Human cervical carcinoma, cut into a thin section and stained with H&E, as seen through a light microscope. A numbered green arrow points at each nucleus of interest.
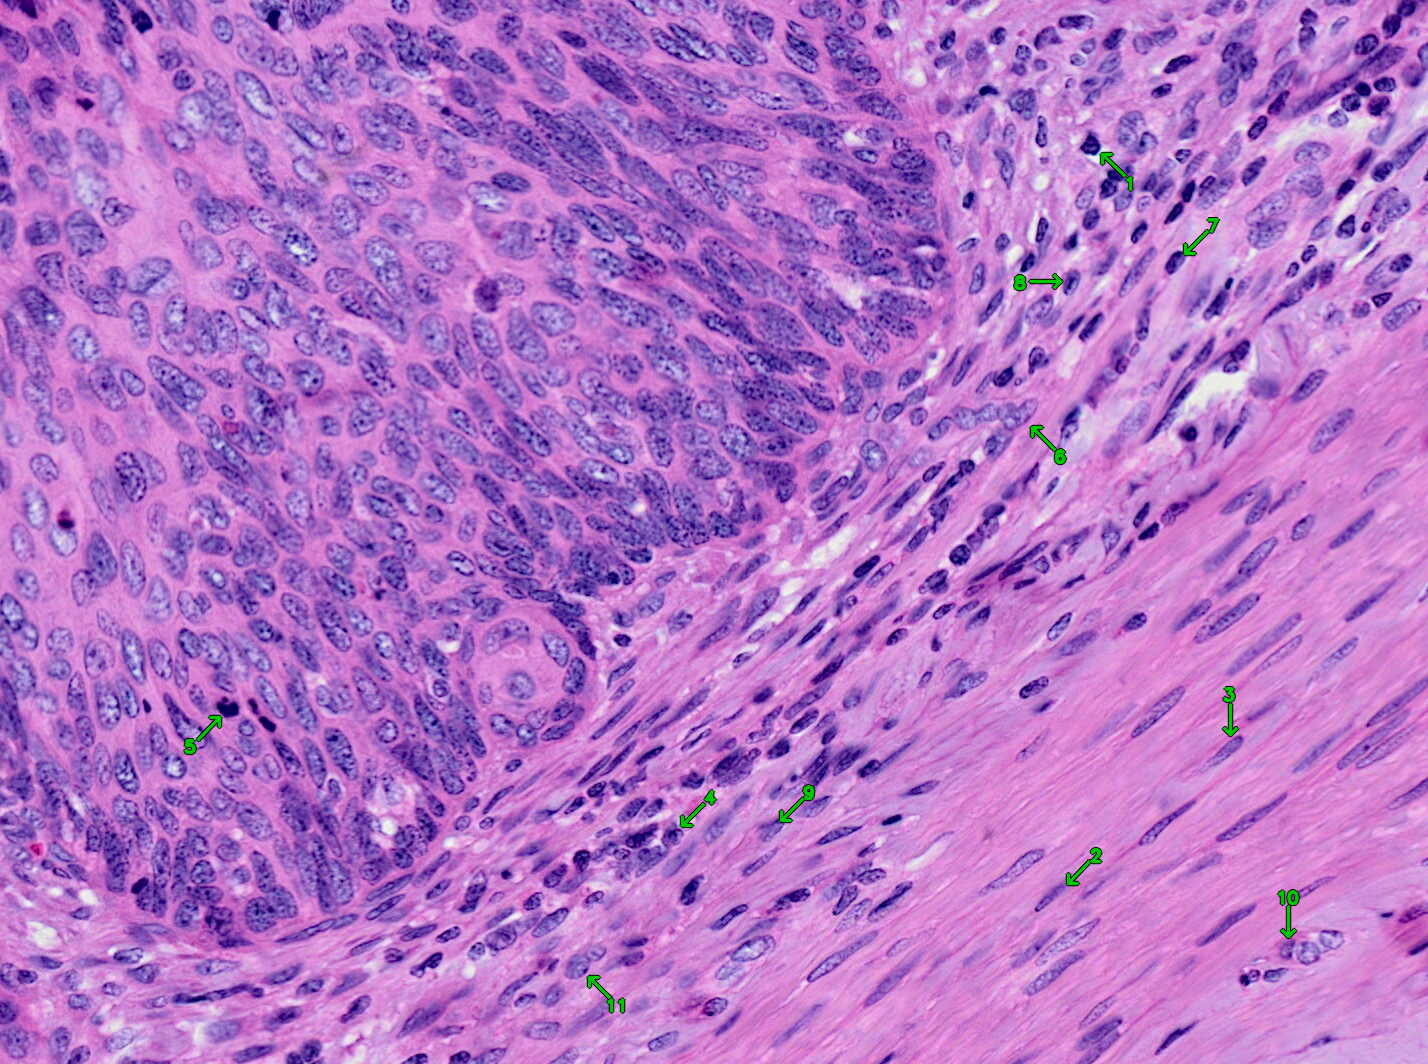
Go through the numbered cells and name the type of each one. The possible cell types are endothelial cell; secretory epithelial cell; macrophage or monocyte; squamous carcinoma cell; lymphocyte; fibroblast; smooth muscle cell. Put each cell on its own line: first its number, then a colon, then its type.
1: lymphocyte
2: fibroblast
3: smooth muscle cell
4: lymphocyte
5: squamous carcinoma cell
6: endothelial cell
7: lymphocyte
8: lymphocyte
9: smooth muscle cell
10: endothelial cell
11: smooth muscle cell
